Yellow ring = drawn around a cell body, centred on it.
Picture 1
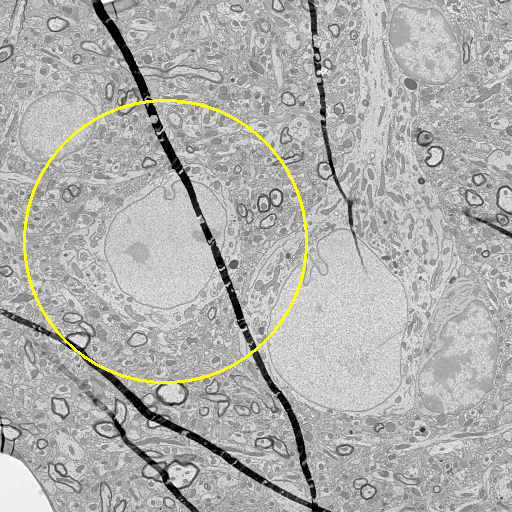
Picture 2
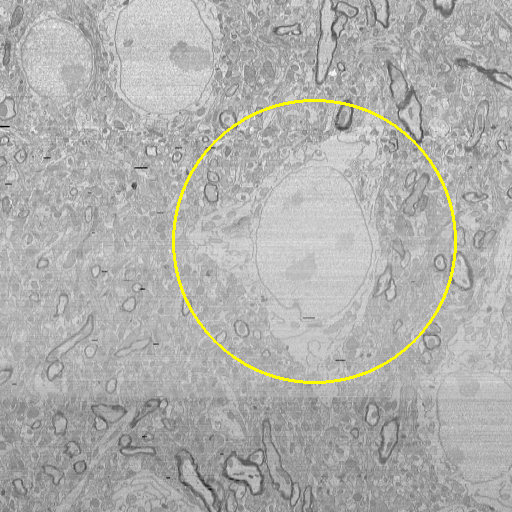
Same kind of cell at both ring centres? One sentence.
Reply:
Yes, they are the same kind of cell.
